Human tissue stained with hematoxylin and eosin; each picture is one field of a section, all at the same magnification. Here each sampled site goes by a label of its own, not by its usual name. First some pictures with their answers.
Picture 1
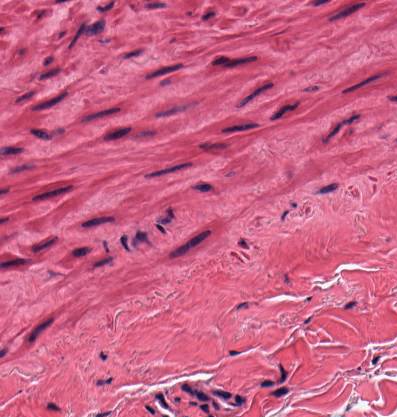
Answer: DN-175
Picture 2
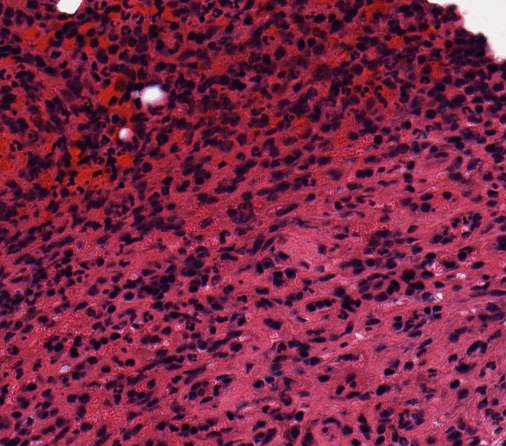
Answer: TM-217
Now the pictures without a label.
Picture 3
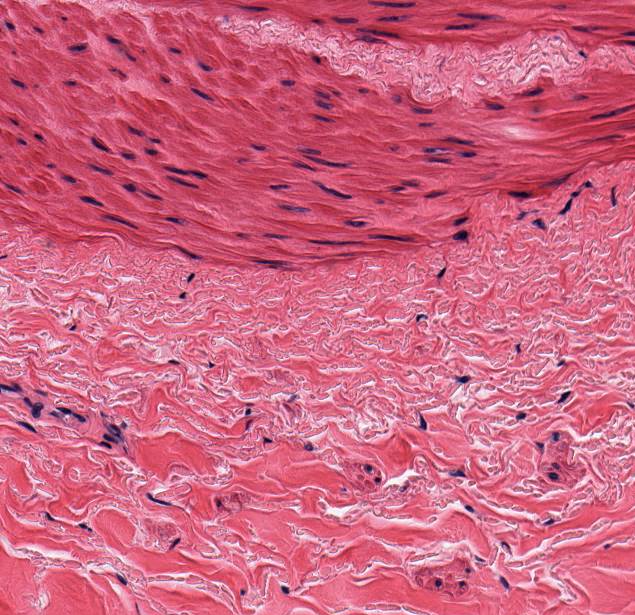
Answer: DN-175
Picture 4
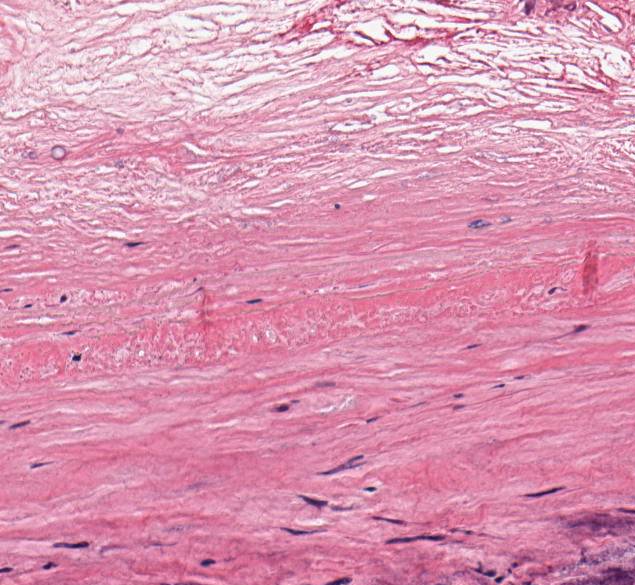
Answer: DN-175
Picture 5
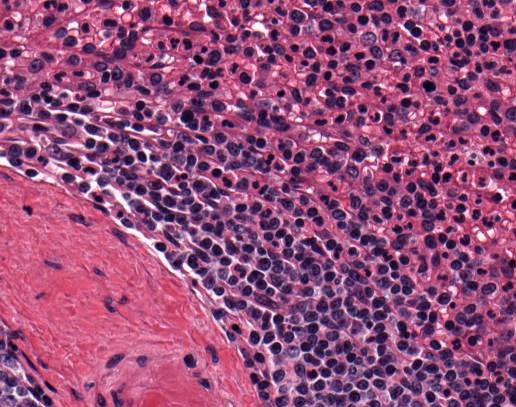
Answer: TM-217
